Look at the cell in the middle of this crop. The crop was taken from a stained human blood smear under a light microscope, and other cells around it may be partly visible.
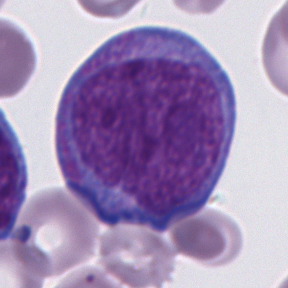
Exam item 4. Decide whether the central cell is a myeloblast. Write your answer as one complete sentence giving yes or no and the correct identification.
No, the central cell is not to be called a myeloblast, being a promyelocyte.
